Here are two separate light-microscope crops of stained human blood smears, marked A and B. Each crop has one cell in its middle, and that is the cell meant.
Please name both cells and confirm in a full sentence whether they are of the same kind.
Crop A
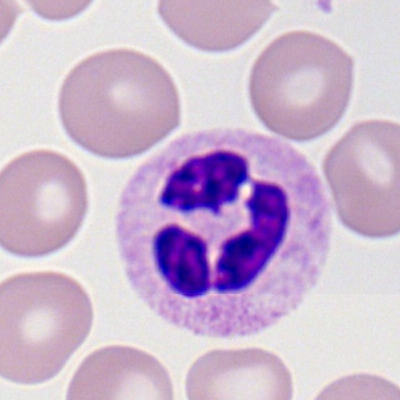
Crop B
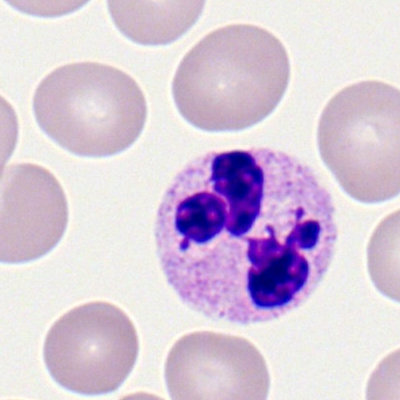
Yes, the reply for both crops is segmented neutrophils.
